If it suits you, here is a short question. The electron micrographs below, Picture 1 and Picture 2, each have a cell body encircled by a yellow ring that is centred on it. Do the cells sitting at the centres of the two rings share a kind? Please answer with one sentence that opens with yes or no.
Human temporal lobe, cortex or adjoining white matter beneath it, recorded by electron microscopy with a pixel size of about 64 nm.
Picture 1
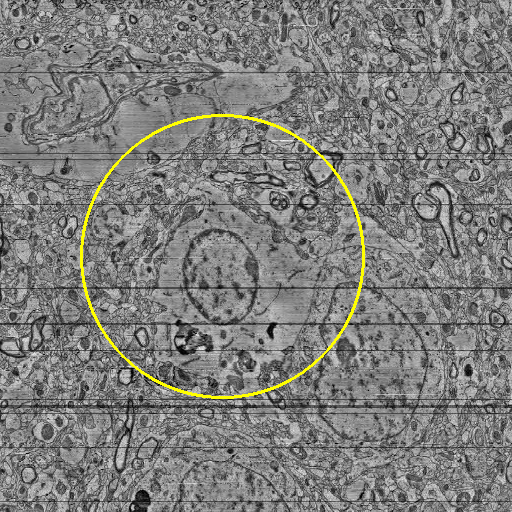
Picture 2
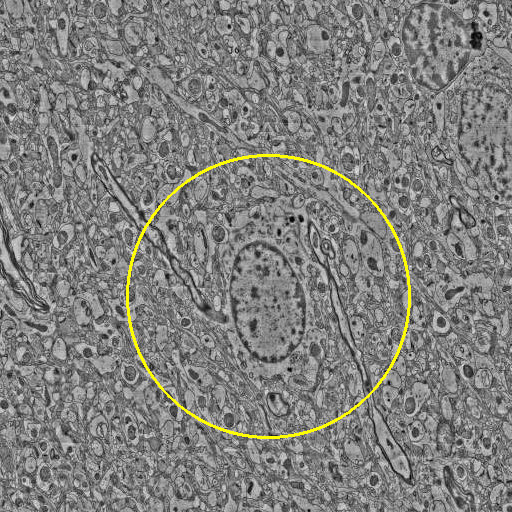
Yes, the two cells sitting at the ring centres share a single kind.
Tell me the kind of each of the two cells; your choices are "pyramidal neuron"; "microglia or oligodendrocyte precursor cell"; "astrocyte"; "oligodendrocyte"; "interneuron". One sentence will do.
Each of the two rings surrounds an astrocyte.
